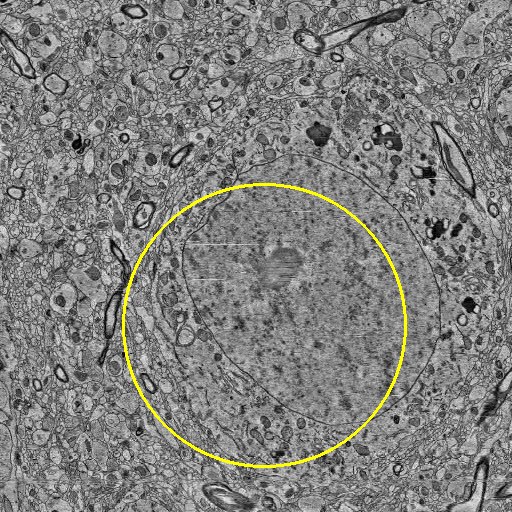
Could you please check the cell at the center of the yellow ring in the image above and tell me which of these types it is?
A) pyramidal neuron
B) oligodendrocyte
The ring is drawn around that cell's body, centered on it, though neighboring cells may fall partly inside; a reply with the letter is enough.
A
